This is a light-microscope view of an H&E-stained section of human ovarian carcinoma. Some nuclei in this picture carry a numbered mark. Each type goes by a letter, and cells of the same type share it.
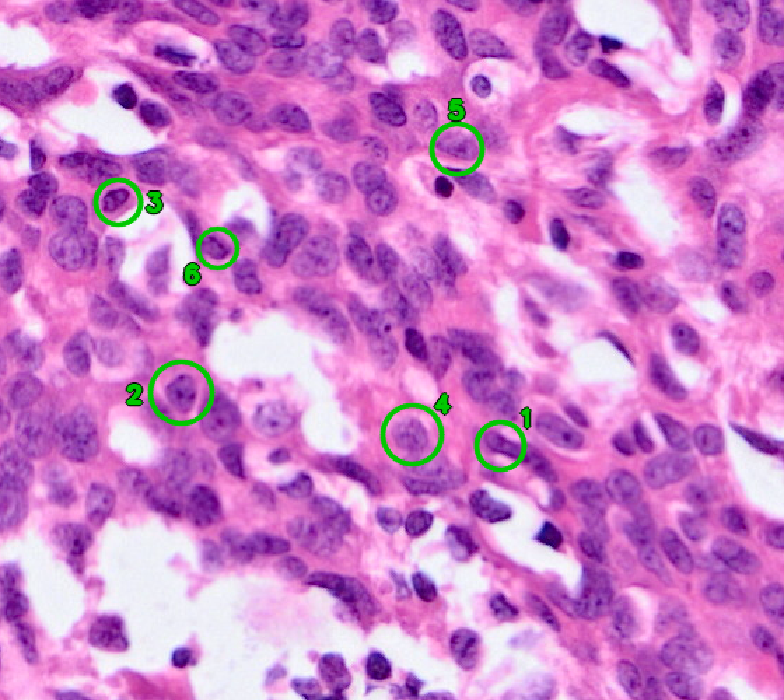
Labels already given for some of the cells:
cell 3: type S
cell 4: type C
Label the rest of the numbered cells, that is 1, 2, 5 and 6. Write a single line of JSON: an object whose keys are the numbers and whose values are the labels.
{"1": "type C", "2": "type S", "5": "type C", "6": "type S"}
